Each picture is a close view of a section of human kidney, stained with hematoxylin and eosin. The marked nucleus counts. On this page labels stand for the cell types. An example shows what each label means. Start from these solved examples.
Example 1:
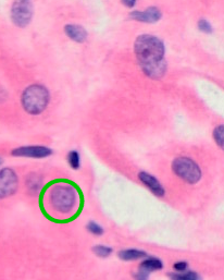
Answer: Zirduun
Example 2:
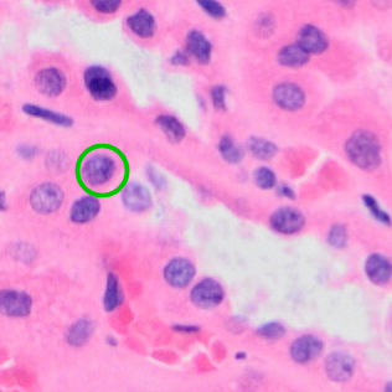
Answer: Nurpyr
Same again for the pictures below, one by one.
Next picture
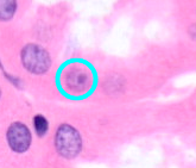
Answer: Zirduun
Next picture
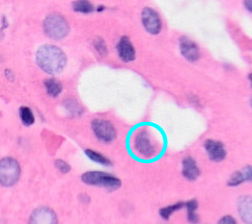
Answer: Nurpyr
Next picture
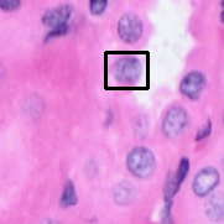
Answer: Nurpyr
